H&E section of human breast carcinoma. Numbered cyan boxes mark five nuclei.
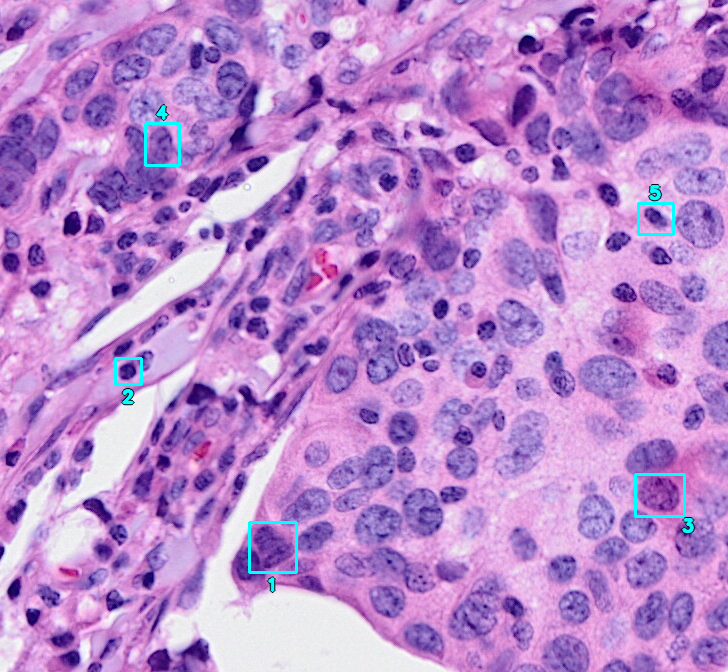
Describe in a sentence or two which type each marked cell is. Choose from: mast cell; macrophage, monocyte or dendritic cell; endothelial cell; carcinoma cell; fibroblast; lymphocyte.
Cells 1, 3 and 4 are carcinoma cells. Cells 2 and 5 are lymphocytes.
